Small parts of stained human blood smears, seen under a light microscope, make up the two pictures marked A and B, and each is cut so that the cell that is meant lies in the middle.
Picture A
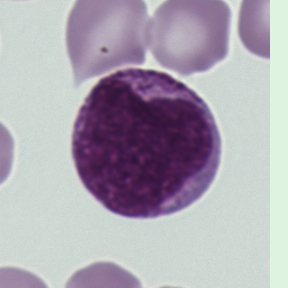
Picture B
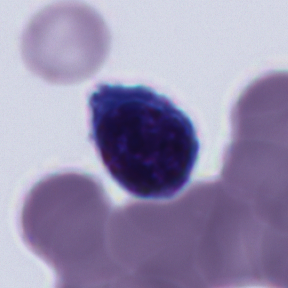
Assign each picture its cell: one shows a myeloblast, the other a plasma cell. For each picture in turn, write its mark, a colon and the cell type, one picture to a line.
A: myeloblast
B: plasma cell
